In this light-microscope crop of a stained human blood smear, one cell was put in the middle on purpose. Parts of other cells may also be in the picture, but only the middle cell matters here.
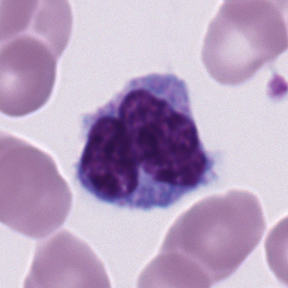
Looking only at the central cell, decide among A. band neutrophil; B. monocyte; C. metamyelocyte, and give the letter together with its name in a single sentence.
The centrally located cell is a monocyte, making option B the correct choice.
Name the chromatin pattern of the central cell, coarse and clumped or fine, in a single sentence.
Thanks for asking; the chromatin is coarsely clumped.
